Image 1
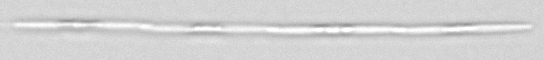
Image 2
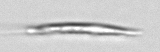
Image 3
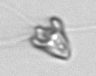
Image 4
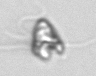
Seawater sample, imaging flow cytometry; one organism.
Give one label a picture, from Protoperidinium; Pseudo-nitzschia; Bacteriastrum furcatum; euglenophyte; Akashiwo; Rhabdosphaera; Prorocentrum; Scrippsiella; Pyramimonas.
(1) Pseudo-nitzschia
(2) euglenophyte
(3) Pyramimonas
(4) Pyramimonas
